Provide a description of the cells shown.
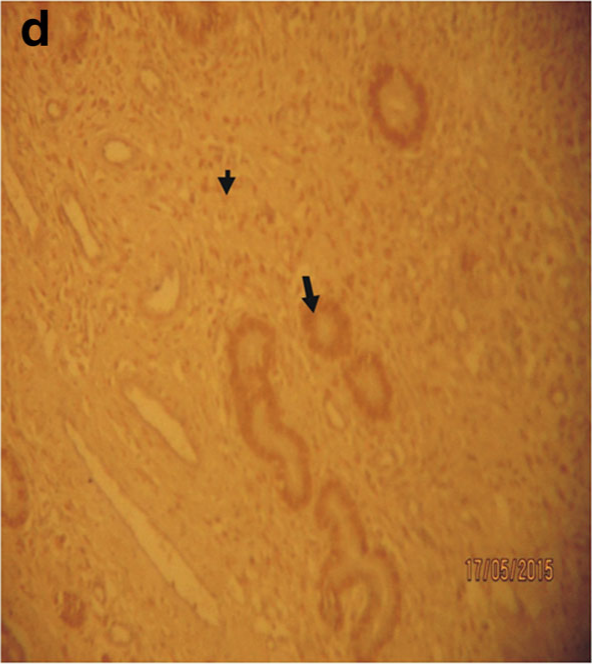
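The glands show as round, oval and winding tubular profiles, each lined by a single ring of epithelial cells around a clear lumen. These gland linings take up a distinctly darker brown than their surroundings. Between the glands the stroma is loose, with many small scattered nuclei that are lightly brown, and a few elongated clefts run through it.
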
